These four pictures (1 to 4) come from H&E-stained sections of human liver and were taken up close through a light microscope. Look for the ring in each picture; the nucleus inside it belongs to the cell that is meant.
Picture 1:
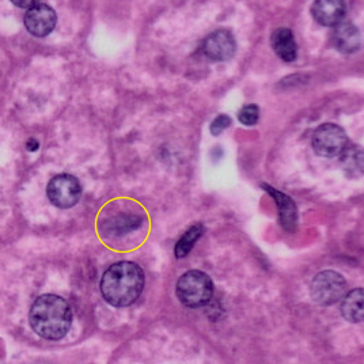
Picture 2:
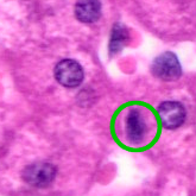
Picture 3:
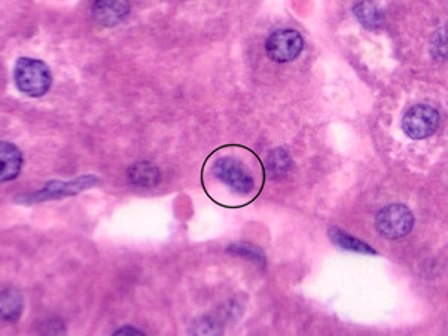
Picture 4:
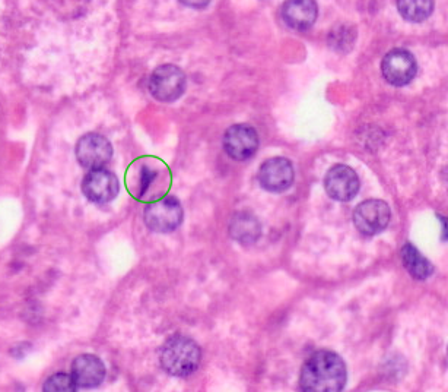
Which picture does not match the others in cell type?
1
